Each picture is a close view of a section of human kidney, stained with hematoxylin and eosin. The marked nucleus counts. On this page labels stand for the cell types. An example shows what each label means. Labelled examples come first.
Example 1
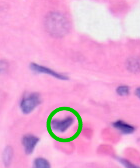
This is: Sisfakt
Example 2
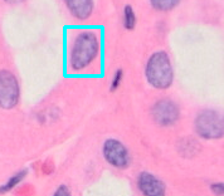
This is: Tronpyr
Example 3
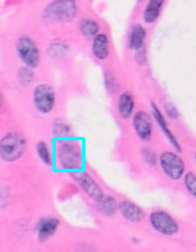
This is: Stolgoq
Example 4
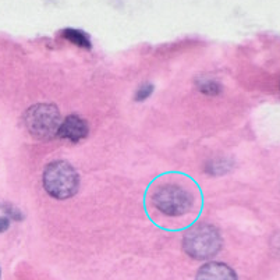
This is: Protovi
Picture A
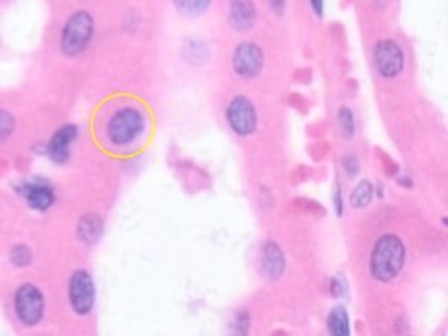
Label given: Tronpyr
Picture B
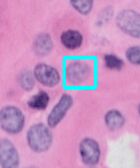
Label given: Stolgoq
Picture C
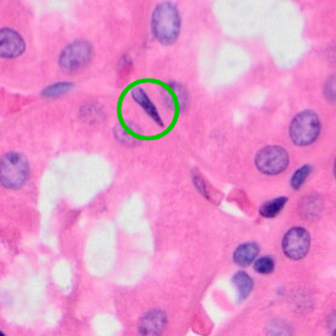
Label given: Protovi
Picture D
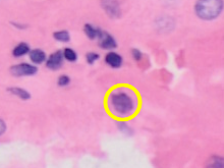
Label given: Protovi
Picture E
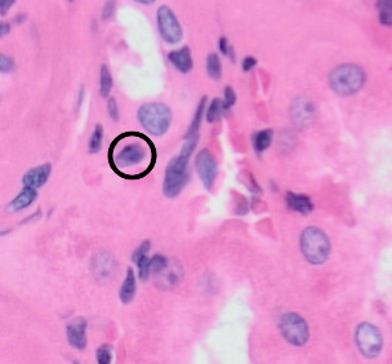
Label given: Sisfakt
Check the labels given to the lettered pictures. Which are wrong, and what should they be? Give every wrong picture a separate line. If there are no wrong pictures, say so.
C: change Protovi to Sisfakt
